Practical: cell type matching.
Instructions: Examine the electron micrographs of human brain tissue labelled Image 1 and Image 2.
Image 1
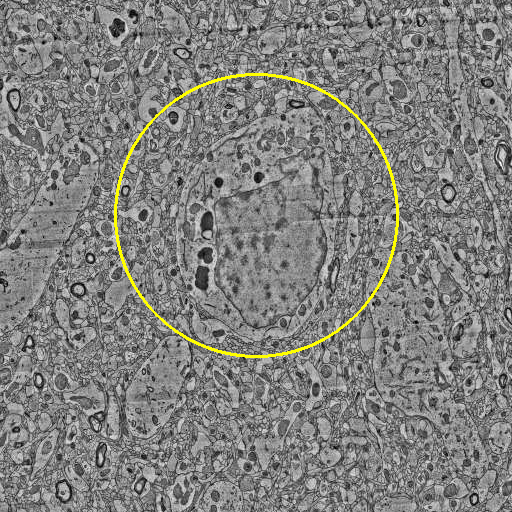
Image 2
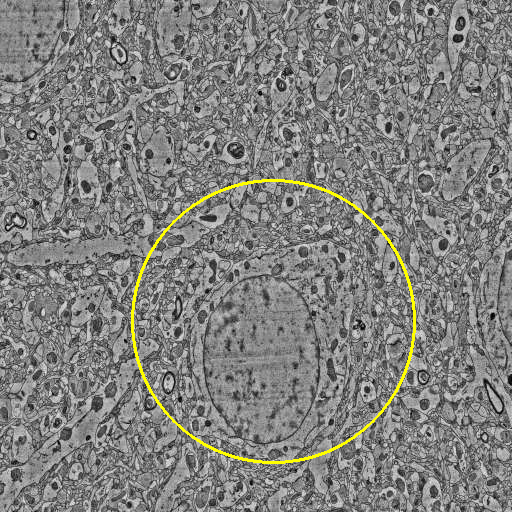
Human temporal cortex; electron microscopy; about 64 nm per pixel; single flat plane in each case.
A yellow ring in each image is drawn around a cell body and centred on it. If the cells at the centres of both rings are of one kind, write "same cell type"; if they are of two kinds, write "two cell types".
two cell types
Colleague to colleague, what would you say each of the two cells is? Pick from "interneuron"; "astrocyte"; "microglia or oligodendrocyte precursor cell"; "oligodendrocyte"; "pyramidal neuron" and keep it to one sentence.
The cell in the first picture is an interneuron; the second picture's cell is a pyramidal neuron.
